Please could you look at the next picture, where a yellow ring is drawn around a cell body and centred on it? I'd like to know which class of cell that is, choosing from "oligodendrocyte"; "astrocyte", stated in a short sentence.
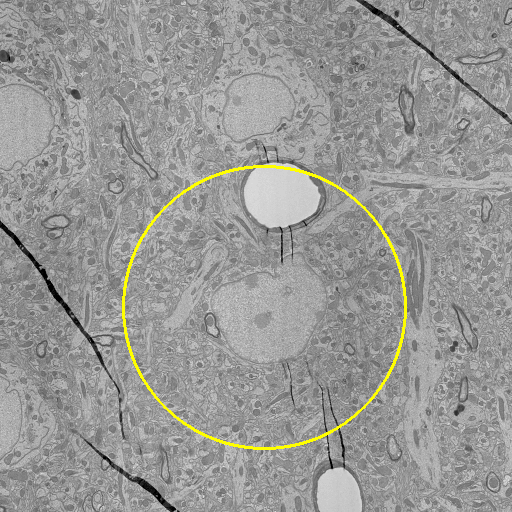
The ring's centre lies on an astrocyte.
